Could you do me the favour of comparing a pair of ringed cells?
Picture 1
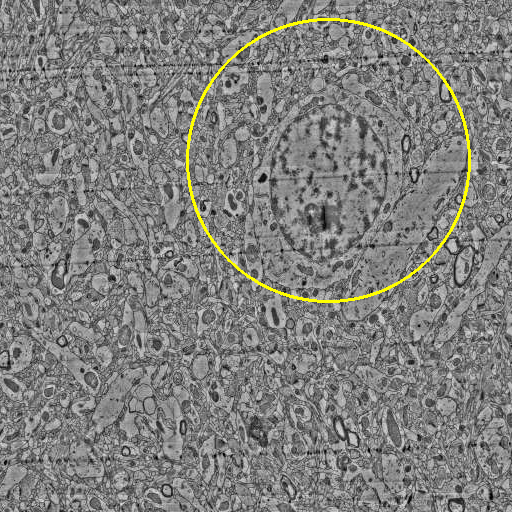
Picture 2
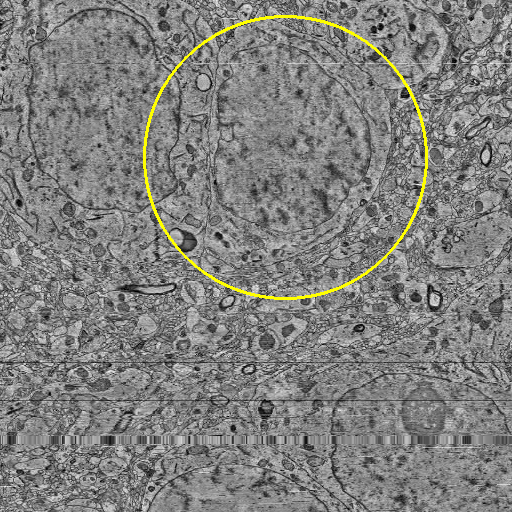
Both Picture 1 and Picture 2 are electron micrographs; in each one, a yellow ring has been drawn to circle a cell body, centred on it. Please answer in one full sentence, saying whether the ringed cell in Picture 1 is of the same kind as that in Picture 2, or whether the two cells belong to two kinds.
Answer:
The ringed cell in Picture 1 is of the same kind as that in Picture 2.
